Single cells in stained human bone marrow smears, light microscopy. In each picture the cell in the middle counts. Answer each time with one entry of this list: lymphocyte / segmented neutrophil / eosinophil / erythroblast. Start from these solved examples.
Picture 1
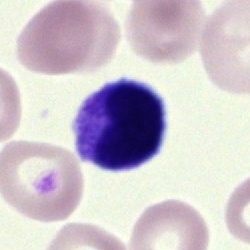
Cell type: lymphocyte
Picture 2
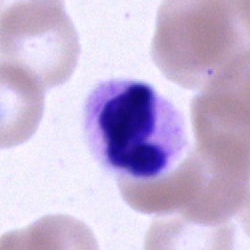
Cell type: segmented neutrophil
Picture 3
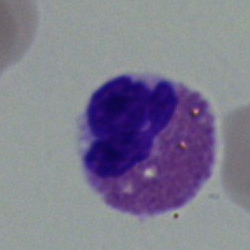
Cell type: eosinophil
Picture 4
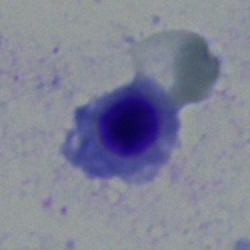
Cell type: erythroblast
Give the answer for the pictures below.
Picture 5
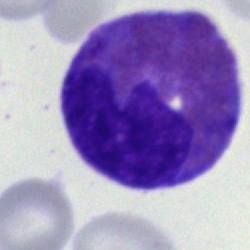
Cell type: eosinophil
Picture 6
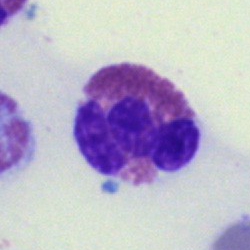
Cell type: eosinophil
